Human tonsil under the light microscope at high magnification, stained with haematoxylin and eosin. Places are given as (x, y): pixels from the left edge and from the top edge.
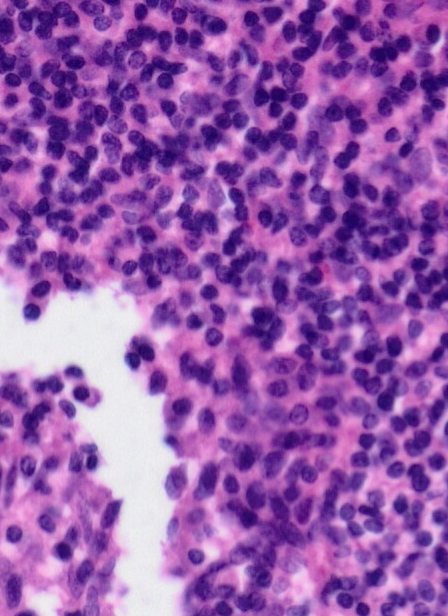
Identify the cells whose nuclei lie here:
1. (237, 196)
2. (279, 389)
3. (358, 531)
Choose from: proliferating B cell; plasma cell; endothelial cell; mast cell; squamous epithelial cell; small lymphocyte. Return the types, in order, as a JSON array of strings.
["small lymphocyte", "plasma cell", "small lymphocyte"]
